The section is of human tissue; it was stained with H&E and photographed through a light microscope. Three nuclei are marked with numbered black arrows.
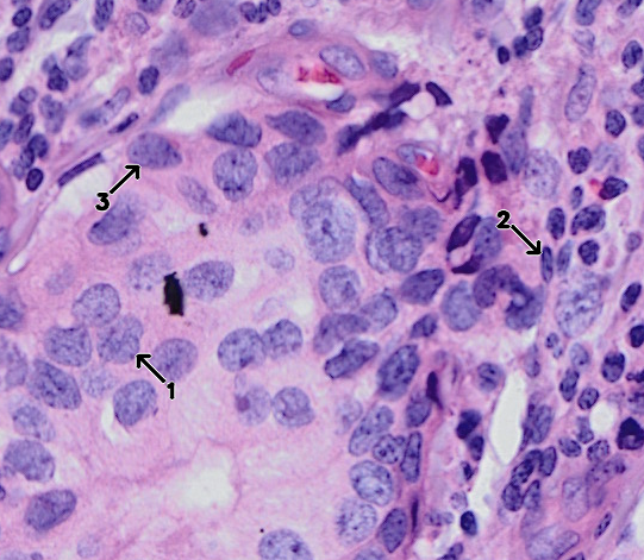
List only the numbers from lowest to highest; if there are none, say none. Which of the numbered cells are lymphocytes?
2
